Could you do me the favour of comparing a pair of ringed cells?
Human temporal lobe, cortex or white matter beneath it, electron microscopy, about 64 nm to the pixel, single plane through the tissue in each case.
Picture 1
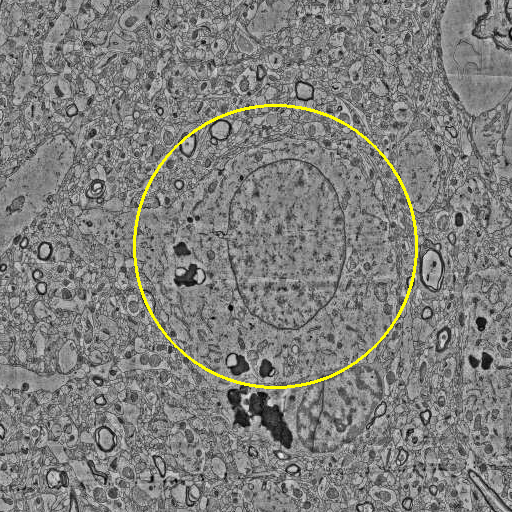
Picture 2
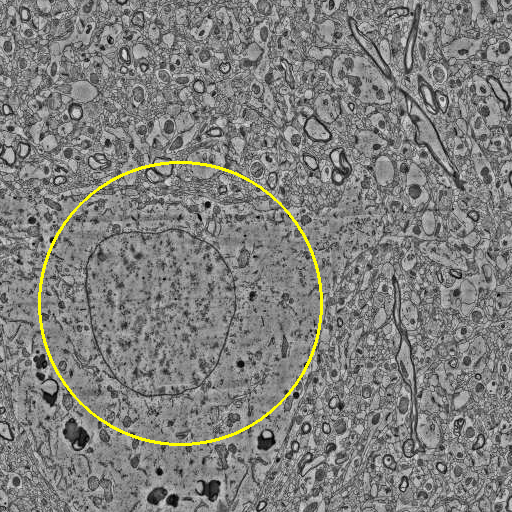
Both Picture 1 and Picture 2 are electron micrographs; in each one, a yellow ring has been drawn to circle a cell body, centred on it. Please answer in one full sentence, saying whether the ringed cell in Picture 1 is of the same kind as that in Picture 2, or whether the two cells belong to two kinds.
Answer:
The ringed cell in Picture 1 is of the same kind as that in Picture 2.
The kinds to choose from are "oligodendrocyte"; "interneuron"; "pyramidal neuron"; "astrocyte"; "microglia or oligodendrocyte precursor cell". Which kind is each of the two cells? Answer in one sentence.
In each of the two pictures, the ringed cell is a pyramidal neuron.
